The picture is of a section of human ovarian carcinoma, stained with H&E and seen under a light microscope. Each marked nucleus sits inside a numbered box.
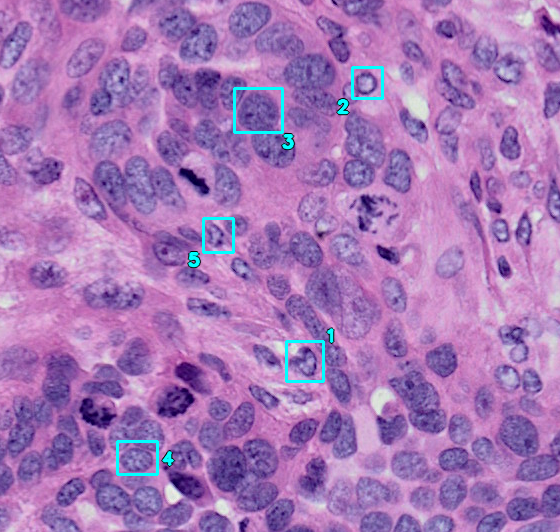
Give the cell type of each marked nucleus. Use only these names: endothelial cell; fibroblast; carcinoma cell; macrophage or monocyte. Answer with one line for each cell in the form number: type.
1: fibroblast
2: fibroblast
3: carcinoma cell
4: carcinoma cell
5: fibroblast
